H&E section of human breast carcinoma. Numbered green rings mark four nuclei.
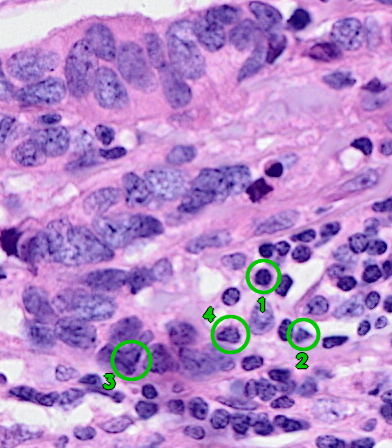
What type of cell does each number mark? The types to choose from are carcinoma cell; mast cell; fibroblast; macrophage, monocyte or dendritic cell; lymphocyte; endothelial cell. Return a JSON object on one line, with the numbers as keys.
{"1": "lymphocyte", "2": "lymphocyte", "3": "carcinoma cell", "4": "lymphocyte"}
